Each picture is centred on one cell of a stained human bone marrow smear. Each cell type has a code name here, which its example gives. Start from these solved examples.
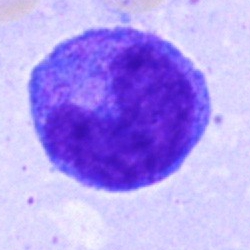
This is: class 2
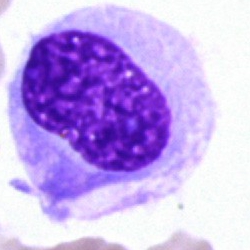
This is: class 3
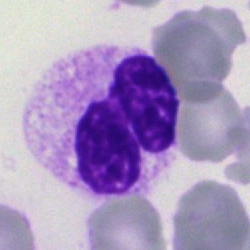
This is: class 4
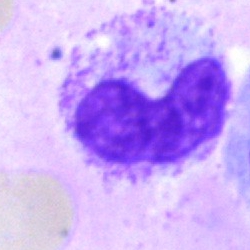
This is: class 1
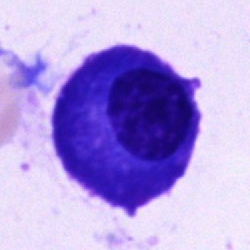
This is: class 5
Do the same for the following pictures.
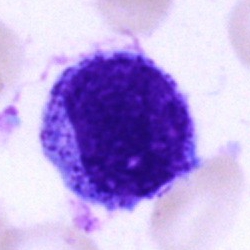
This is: class 2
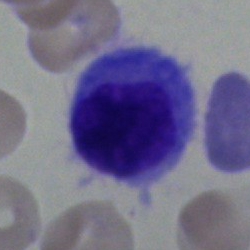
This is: class 3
